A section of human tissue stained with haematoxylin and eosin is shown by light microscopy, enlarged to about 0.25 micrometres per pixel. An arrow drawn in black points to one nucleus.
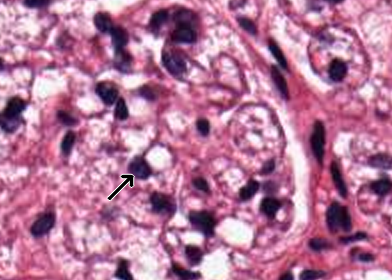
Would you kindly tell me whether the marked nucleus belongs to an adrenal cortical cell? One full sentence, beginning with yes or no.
Yes, the cell containing the marked nucleus is an adrenal cortical cell.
